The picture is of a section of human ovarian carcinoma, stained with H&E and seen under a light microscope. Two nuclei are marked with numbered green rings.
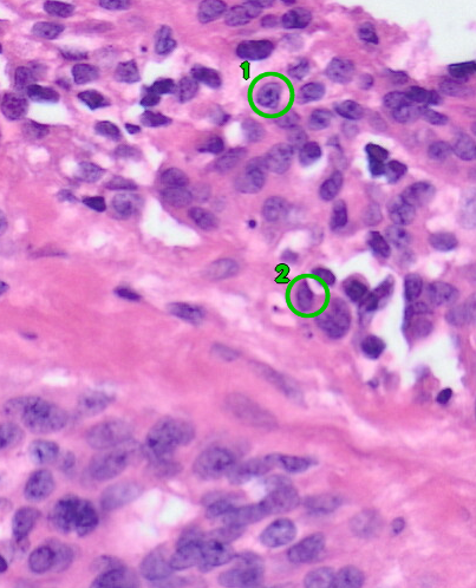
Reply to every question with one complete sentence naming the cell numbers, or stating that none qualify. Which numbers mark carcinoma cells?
Among the cells marked with numbers, the only one that is a carcinoma cell is number 2.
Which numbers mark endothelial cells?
Identified by number, the marked cells include no endothelial cells.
